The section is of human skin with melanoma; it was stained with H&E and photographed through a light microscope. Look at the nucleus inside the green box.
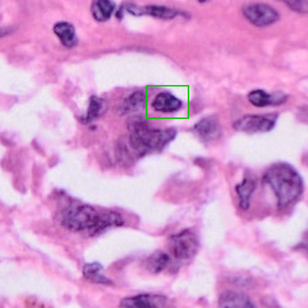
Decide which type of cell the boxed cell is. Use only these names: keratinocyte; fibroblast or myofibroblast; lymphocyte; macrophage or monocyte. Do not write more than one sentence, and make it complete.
At the level of cell identity, the boxed cell is a lymphocyte.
